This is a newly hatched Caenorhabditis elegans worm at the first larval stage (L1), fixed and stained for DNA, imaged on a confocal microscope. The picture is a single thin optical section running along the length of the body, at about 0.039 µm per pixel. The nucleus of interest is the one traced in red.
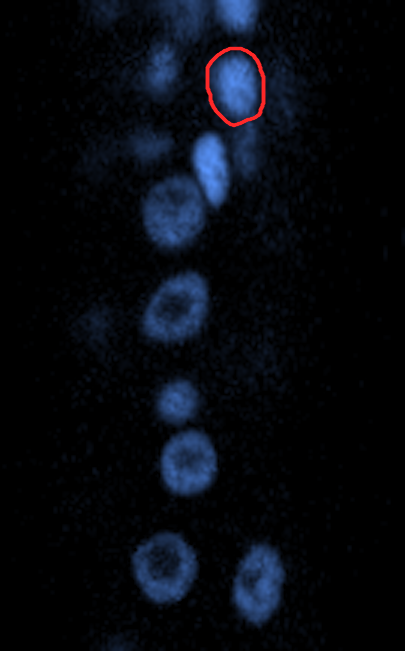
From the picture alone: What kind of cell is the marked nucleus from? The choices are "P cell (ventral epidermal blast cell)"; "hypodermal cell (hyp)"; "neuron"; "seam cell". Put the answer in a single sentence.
The marked nucleus belongs to a neuron.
